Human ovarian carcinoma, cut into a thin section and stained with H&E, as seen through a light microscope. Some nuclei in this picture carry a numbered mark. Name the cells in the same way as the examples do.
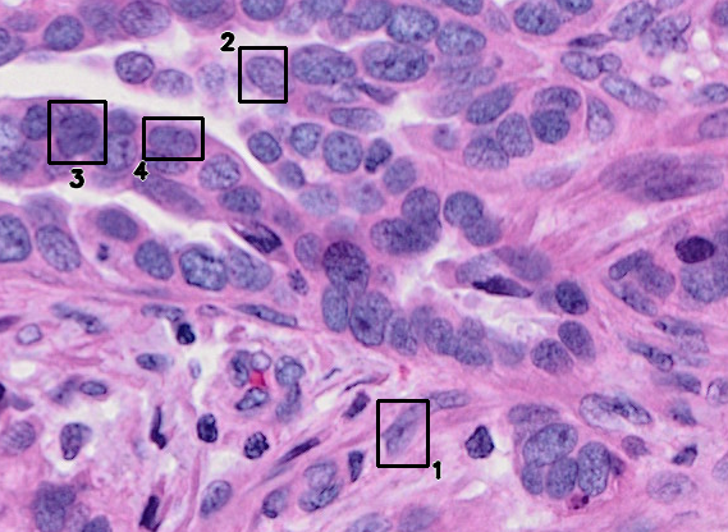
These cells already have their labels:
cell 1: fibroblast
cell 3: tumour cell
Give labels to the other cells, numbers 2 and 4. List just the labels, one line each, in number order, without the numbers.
tumour cell
tumour cell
